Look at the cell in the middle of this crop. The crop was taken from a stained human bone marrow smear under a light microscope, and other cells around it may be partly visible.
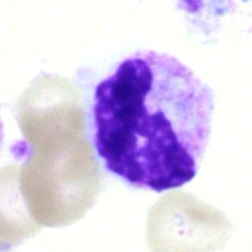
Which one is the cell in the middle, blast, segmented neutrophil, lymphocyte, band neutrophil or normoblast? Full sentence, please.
Within this crop, a segmented neutrophil occupies the central position.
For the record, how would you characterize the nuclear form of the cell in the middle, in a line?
One compact mass makes up the whole nucleus, round, oval or kidney-shaped.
